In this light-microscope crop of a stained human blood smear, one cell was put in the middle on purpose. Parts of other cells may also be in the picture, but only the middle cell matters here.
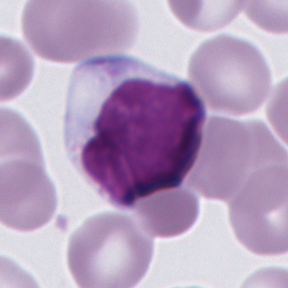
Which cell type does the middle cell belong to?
large granular lymphocyte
